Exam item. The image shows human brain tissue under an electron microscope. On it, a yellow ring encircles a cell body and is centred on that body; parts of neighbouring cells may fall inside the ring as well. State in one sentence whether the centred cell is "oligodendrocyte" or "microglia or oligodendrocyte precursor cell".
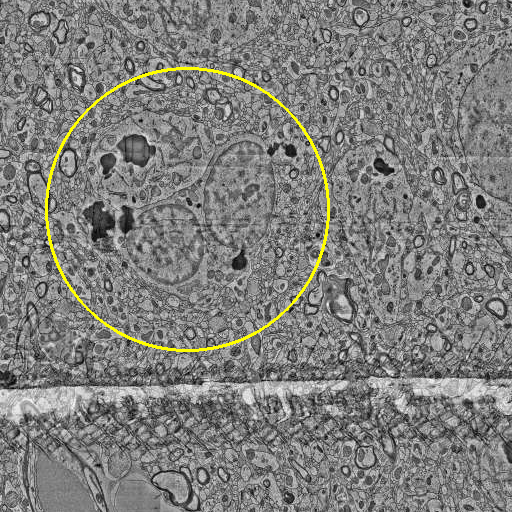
The cell body centred in the ring is an oligodendrocyte.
